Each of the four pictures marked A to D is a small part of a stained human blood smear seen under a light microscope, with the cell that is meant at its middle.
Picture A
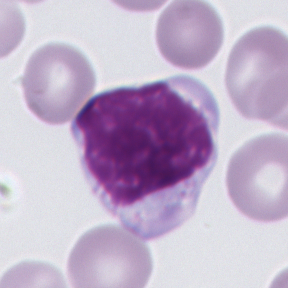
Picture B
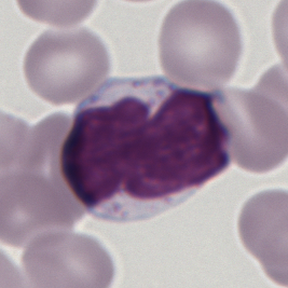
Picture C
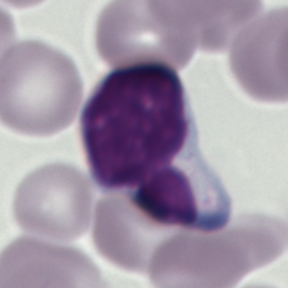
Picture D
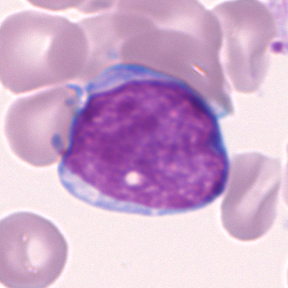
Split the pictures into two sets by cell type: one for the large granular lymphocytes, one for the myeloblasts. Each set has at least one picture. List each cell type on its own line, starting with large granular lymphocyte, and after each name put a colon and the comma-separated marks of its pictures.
large granular lymphocyte: A, B, C
myeloblast: D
